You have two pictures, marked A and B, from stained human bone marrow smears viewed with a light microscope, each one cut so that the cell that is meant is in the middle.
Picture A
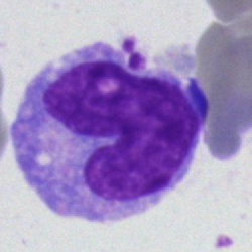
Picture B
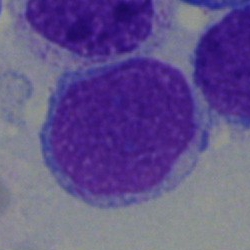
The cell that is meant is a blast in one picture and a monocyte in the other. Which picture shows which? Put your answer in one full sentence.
It is picture A that shows a monocyte, and picture B that shows a blast.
